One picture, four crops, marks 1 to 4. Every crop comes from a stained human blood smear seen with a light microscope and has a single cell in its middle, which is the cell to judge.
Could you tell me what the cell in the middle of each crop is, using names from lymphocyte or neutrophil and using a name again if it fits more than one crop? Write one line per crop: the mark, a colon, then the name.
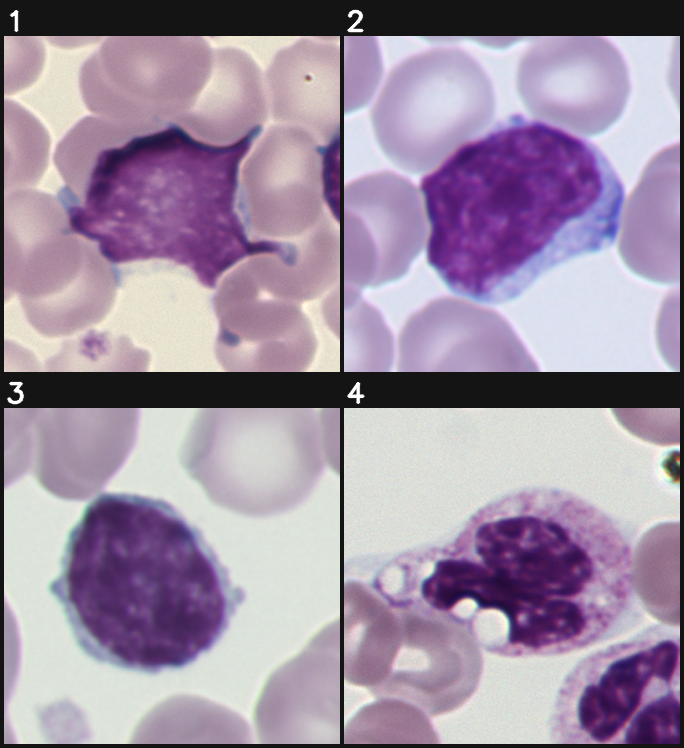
1: lymphocyte
2: lymphocyte
3: lymphocyte
4: neutrophil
